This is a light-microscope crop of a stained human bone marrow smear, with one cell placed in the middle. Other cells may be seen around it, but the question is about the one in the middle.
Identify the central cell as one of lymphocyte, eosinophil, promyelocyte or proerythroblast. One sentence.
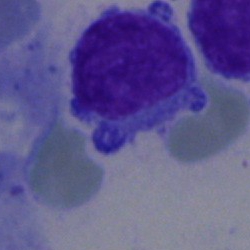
What sits at the centre of this crop is a lymphocyte.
